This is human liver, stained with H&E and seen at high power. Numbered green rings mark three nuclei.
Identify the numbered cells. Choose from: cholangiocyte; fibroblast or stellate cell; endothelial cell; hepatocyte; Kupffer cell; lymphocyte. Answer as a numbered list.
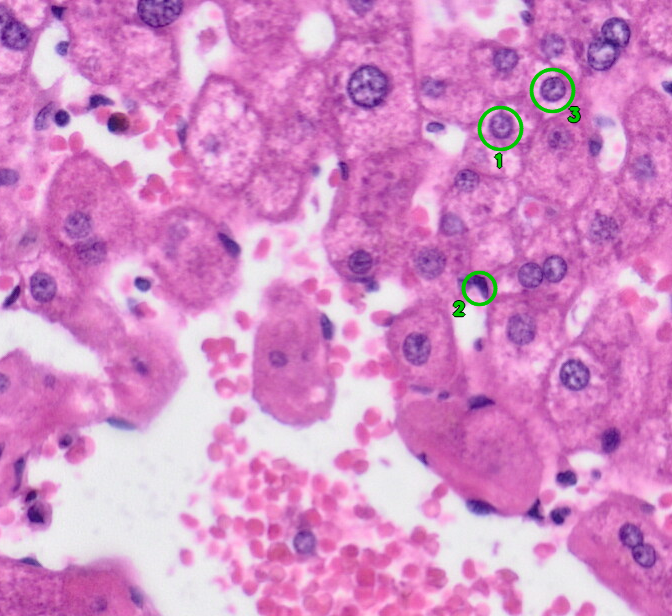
1. hepatocyte
2. fibroblast or stellate cell
3. hepatocyte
